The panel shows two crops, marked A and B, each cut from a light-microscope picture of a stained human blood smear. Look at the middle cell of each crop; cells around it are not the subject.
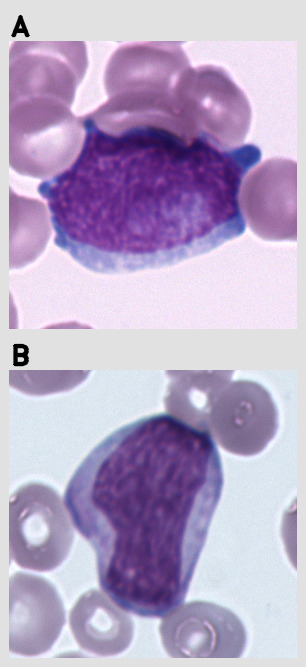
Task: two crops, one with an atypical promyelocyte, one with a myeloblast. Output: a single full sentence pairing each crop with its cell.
Crop A is a myeloblast, and crop B is an atypical promyelocyte.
